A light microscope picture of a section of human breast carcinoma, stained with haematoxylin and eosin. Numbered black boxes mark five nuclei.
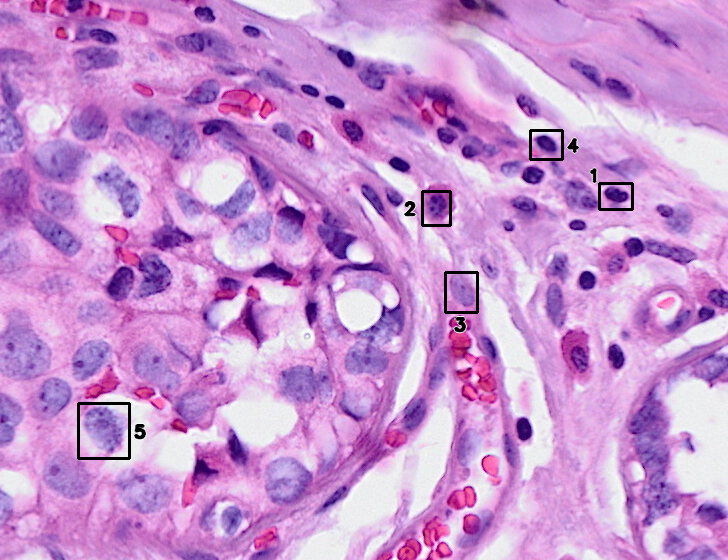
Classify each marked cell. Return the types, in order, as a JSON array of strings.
["lymphocyte", "mast cell", "endothelial cell", "lymphocyte", "carcinoma cell"]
